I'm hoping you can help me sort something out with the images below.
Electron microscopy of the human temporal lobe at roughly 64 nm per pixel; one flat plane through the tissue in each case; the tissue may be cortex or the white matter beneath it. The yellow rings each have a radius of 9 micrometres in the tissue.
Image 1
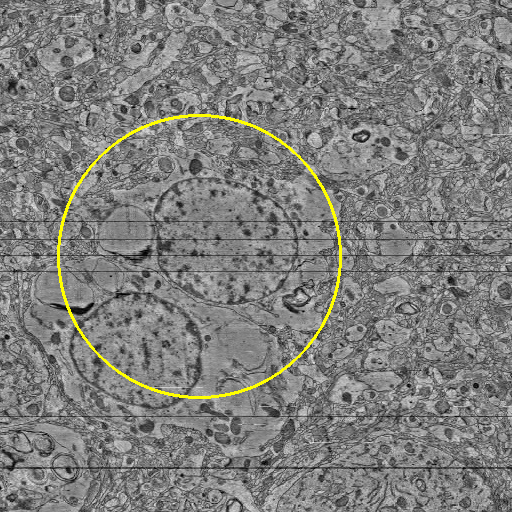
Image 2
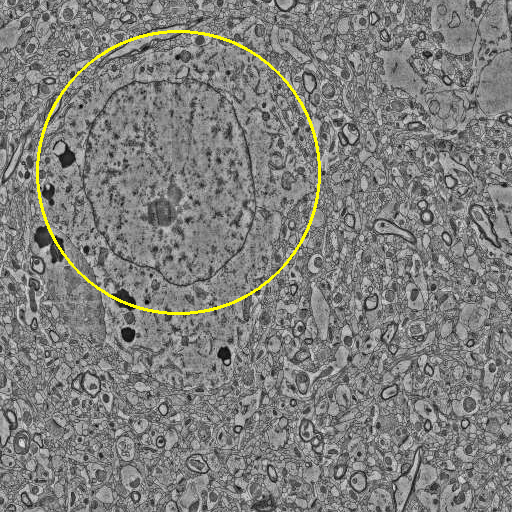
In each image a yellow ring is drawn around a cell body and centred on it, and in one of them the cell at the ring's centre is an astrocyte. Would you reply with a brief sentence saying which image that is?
In Image 1, the cell at the centre of the ring is the one you asked about.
